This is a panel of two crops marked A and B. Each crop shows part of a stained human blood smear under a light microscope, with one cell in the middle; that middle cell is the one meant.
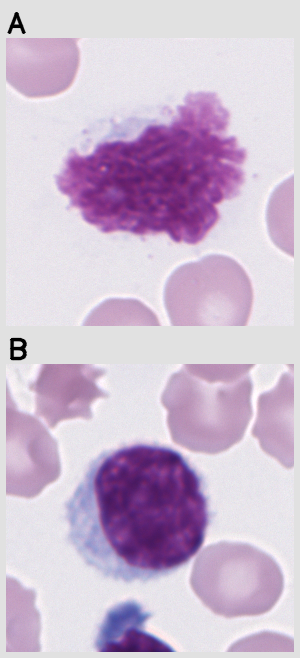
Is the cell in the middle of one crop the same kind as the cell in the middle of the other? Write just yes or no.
no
